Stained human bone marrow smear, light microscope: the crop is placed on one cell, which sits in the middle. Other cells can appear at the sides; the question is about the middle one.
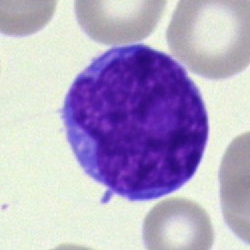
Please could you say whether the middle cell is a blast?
yes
